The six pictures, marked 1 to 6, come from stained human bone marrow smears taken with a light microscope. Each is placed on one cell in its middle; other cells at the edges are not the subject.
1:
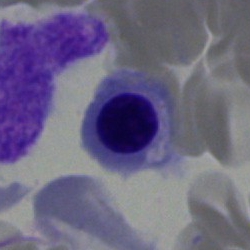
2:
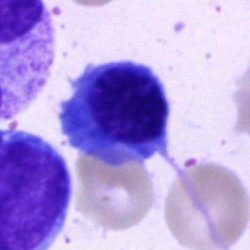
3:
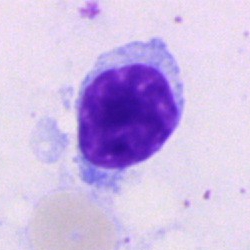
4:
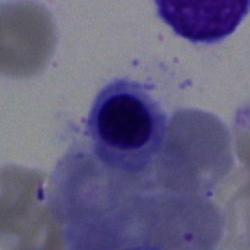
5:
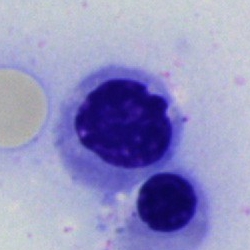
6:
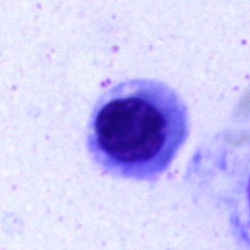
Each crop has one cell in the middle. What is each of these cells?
1: normoblast
2: normoblast
3: lymphocyte
4: normoblast
5: normoblast
6: normoblast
